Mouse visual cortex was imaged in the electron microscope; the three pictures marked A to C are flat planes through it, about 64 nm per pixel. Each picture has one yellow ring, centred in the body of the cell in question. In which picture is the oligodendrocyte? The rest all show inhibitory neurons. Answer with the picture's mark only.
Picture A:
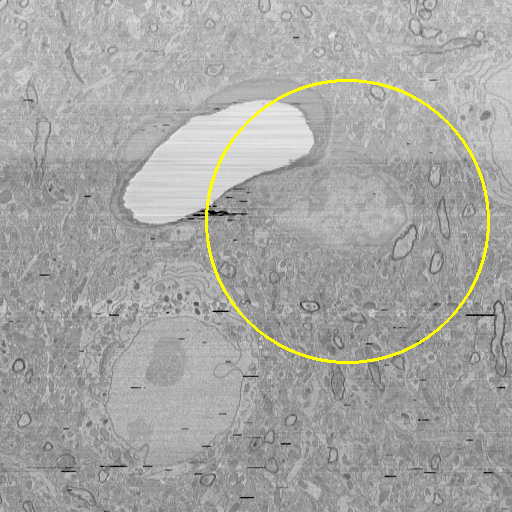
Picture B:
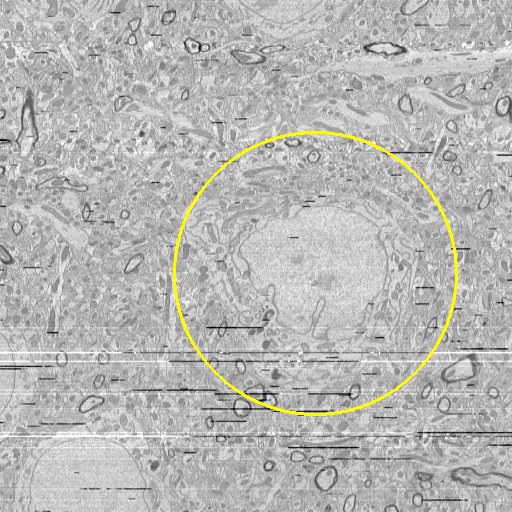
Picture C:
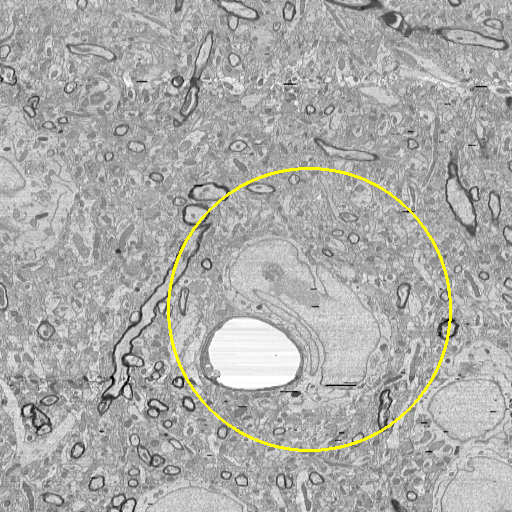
A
